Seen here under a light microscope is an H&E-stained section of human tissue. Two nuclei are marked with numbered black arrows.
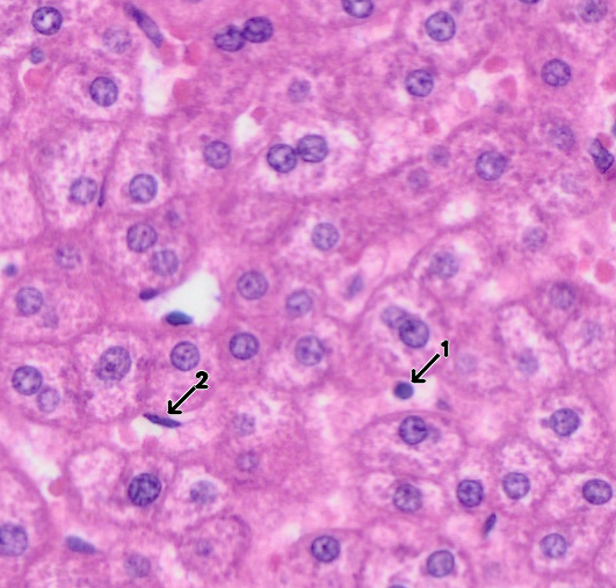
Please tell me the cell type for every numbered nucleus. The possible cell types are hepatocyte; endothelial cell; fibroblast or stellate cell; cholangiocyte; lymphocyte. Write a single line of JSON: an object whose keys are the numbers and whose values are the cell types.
{"1": "lymphocyte", "2": "endothelial cell"}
